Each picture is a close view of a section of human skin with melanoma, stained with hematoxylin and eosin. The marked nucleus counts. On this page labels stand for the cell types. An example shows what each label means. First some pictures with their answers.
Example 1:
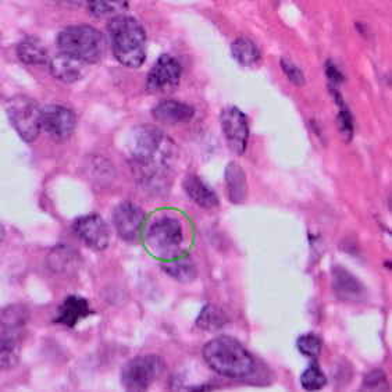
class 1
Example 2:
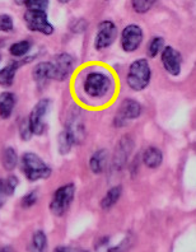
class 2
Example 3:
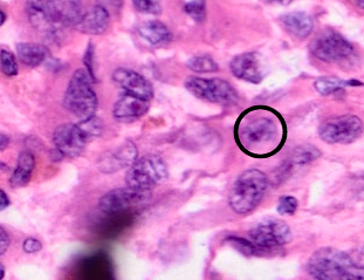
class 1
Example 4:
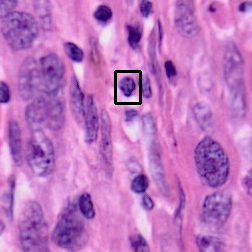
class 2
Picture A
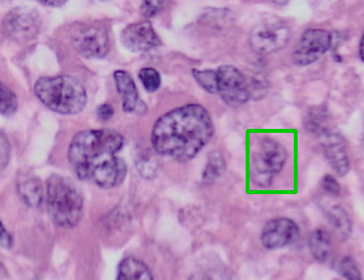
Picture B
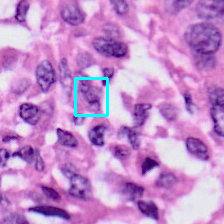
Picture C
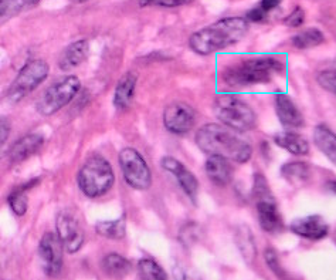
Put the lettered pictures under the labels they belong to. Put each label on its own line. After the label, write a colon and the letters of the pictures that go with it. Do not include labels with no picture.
class 1: A, B, C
